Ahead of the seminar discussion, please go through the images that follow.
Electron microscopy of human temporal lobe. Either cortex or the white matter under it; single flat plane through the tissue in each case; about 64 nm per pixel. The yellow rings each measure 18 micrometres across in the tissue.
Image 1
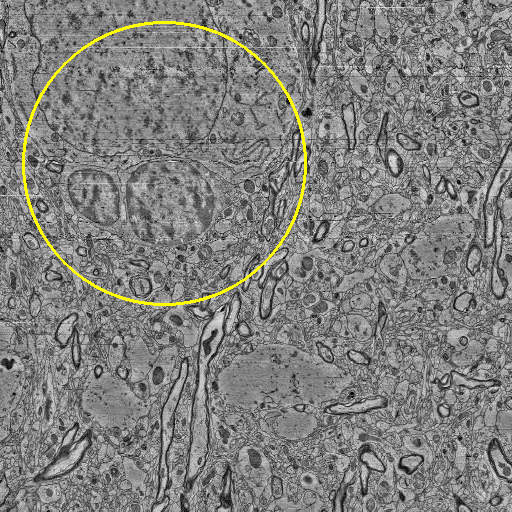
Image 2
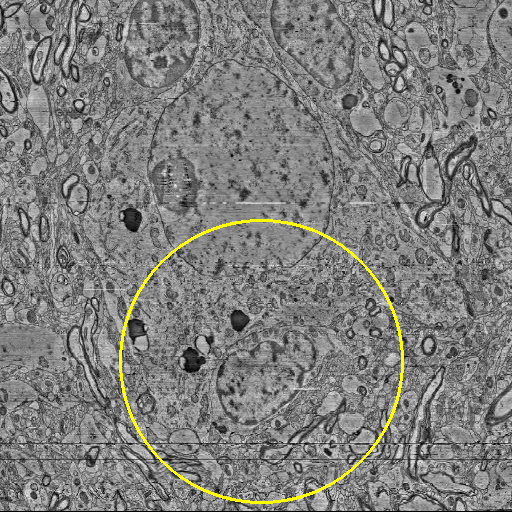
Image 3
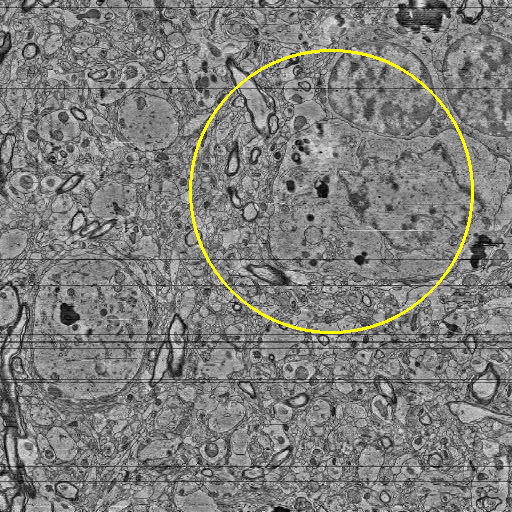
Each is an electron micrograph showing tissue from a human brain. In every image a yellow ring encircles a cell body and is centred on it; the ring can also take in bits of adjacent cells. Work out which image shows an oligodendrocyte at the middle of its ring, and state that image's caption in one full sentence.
In Image 1, the ring's centre holds the cell you are looking for.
